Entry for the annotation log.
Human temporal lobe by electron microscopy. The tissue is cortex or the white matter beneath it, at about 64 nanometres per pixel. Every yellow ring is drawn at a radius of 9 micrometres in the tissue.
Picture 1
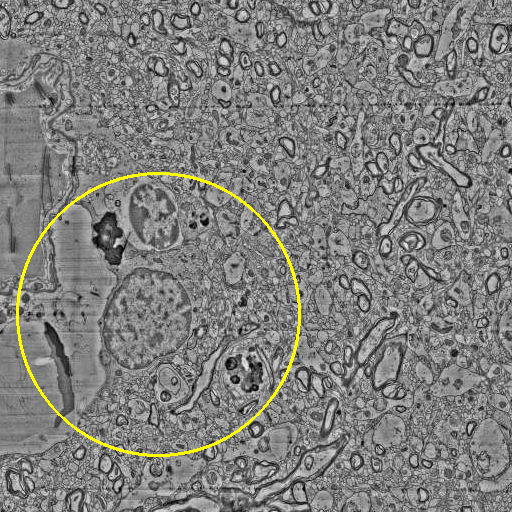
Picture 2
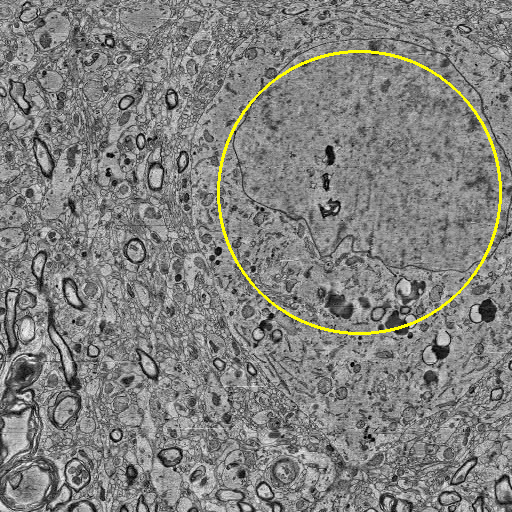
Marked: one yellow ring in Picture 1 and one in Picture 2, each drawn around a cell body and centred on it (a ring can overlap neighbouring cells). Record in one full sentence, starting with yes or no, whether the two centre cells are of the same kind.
No, the two cells are of two kinds.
